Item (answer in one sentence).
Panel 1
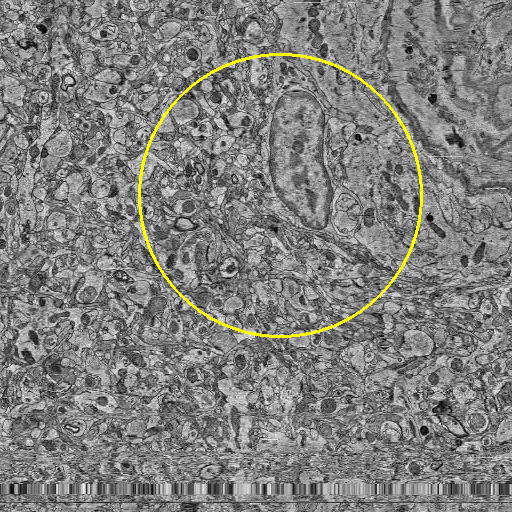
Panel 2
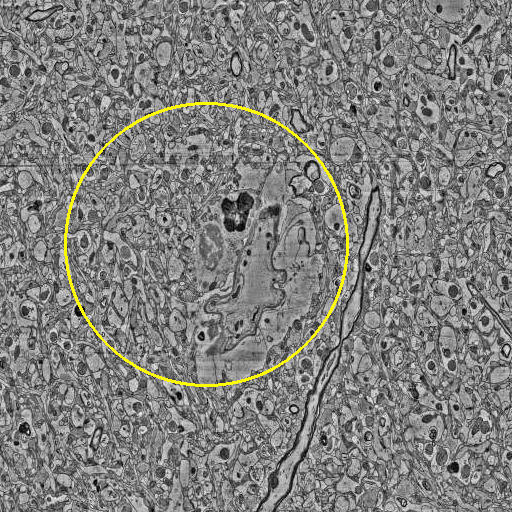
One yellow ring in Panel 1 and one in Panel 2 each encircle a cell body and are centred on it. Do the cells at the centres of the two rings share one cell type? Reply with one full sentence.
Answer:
No, Panel 1 and Panel 2 show cells of two types at the centres of their rings.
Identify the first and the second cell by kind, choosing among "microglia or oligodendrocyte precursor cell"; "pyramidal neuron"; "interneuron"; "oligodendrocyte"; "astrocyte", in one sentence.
The one in the first picture is a microglial cell or oligodendrocyte precursor cell, while the one in the second is an oligodendrocyte.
